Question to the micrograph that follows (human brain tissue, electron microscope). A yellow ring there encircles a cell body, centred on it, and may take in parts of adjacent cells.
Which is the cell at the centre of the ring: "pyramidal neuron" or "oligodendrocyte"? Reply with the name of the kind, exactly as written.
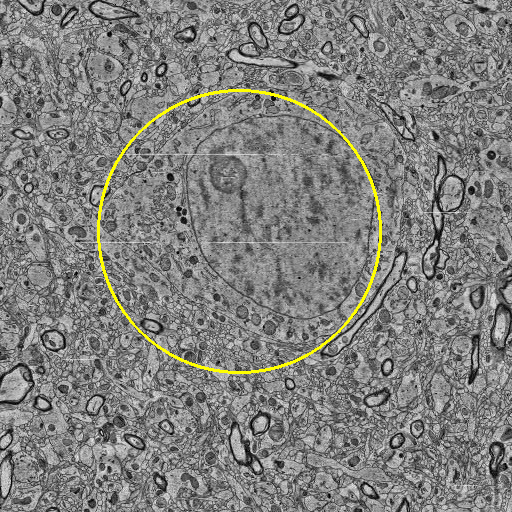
pyramidal neuron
